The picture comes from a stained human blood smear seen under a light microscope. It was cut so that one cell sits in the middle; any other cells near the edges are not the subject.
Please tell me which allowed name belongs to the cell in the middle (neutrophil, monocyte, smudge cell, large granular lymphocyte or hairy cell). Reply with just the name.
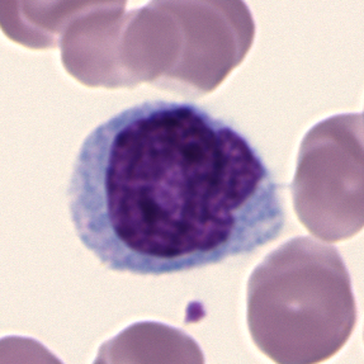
monocyte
